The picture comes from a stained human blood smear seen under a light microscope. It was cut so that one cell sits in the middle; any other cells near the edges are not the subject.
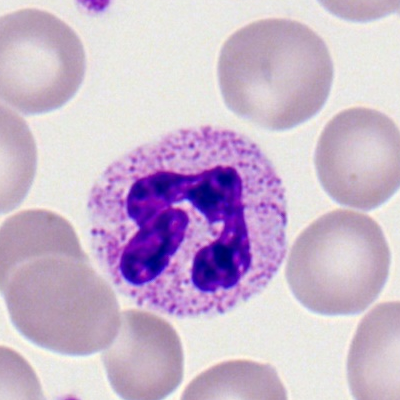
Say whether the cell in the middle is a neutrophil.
yes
